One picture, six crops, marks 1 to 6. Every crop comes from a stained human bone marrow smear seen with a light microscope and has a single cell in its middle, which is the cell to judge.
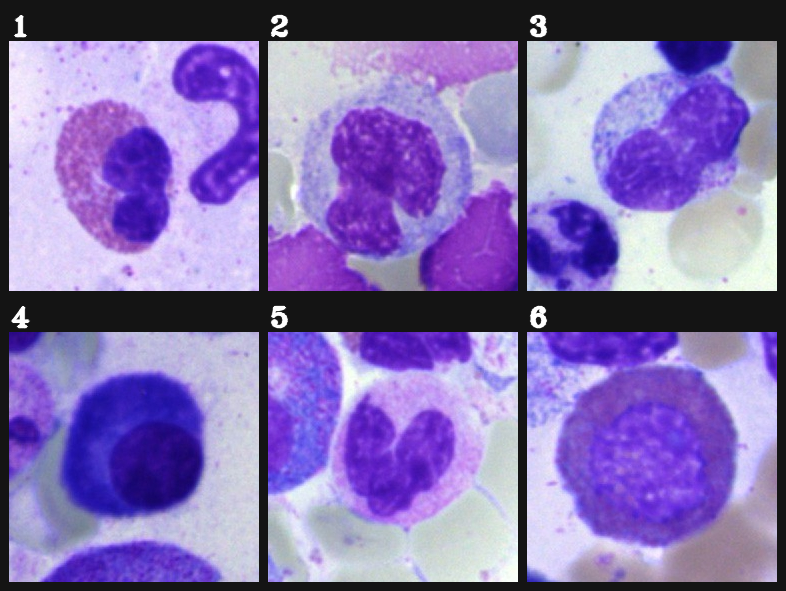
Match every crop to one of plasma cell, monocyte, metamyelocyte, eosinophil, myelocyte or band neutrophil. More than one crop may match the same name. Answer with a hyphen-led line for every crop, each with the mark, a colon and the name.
- 1: eosinophil
- 2: monocyte
- 3: metamyelocyte
- 4: plasma cell
- 5: band neutrophil
- 6: eosinophil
